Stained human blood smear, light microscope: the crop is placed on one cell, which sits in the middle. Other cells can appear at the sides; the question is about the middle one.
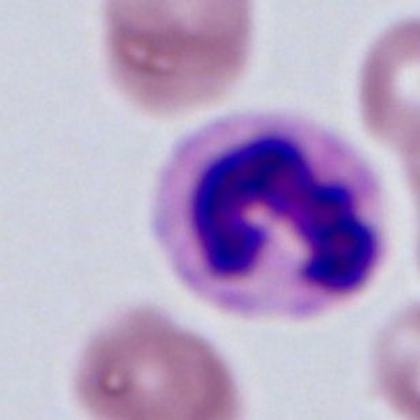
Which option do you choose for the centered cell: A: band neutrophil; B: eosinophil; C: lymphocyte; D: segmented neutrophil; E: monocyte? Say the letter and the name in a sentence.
It is a segmented neutrophil that occupies the centre of the crop, so option D is correct.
